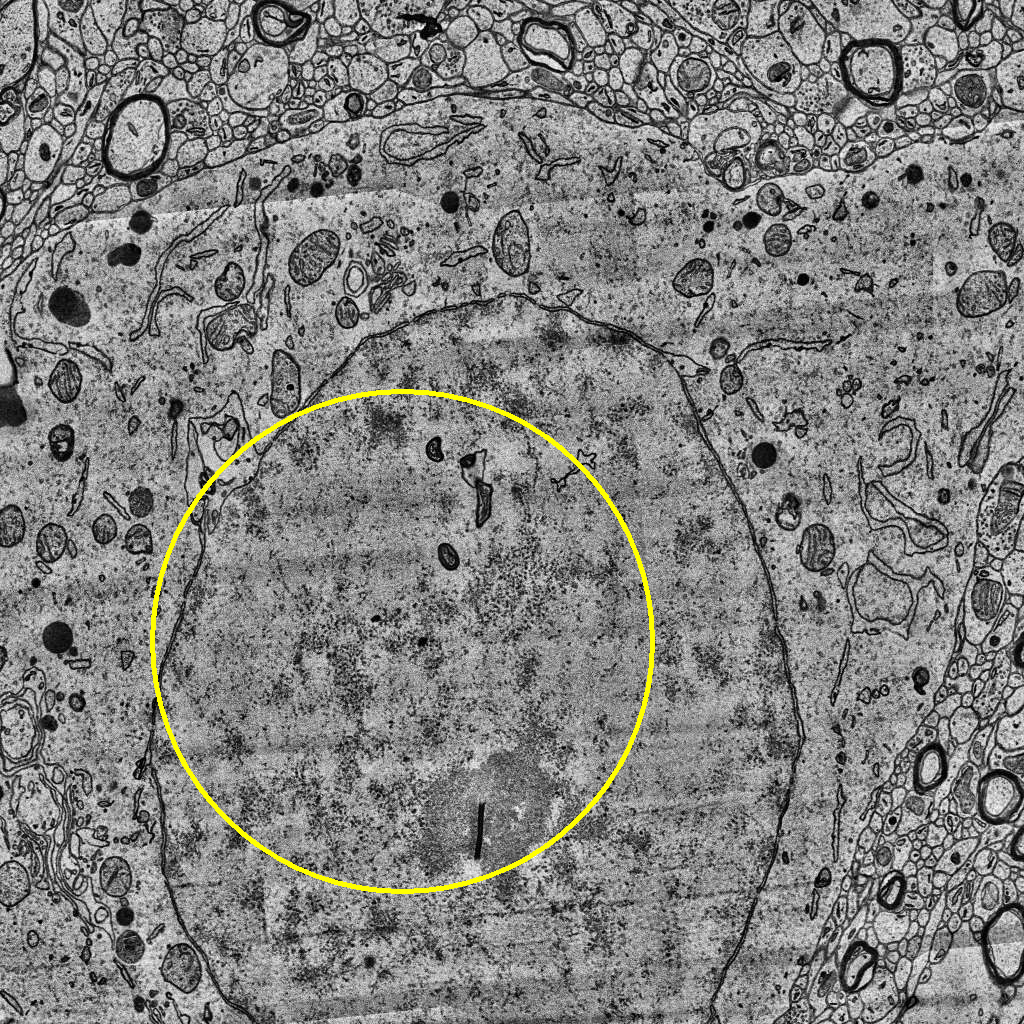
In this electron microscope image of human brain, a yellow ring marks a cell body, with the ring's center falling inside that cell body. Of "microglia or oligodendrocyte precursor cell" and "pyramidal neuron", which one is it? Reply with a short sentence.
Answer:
It is a pyramidal neuron at the center of the ring.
